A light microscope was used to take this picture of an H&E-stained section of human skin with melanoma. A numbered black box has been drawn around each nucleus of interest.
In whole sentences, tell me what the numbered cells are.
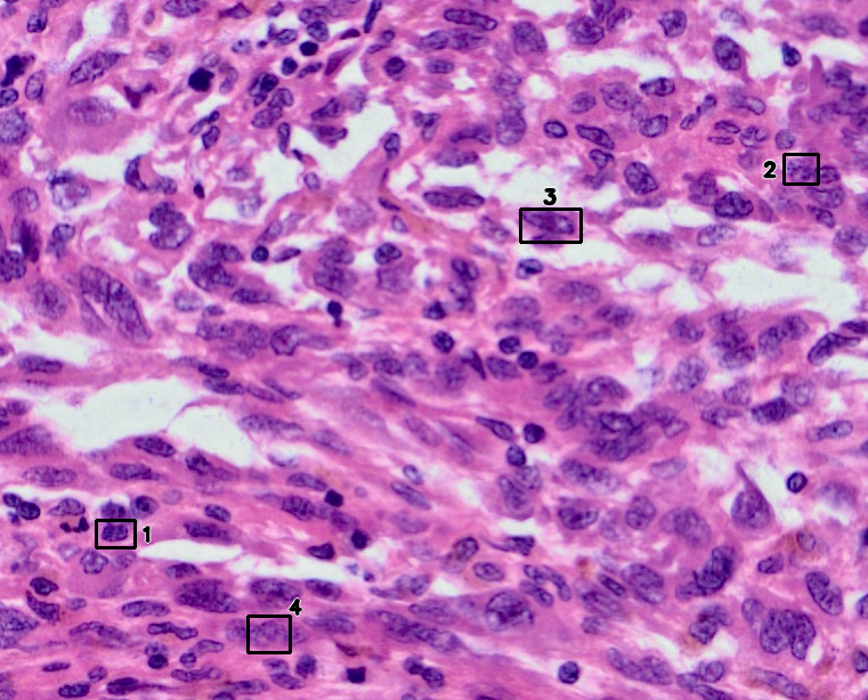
Cell 1 is a lymphocyte. Cells 2, 3 and 4 are melanoma cells.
